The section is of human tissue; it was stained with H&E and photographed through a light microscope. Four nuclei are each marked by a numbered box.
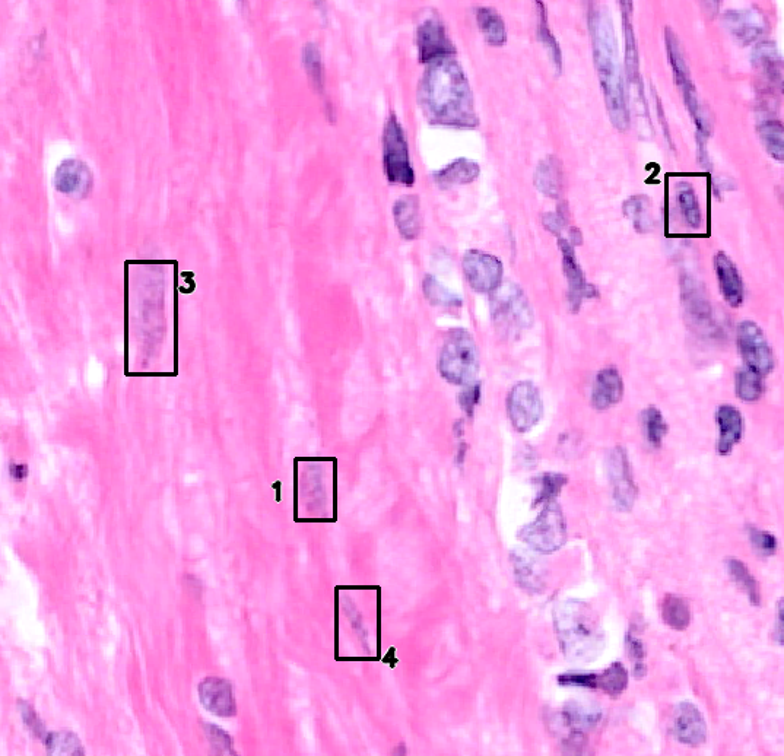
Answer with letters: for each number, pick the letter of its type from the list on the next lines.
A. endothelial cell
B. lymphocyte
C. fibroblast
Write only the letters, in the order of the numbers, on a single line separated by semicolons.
C; A; C; C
